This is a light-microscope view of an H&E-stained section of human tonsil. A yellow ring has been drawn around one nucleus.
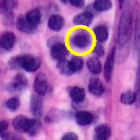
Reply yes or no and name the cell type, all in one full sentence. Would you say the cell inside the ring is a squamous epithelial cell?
No, the cell inside the ring does not represent a squamous epithelial cell; it represents a small lymphocyte.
